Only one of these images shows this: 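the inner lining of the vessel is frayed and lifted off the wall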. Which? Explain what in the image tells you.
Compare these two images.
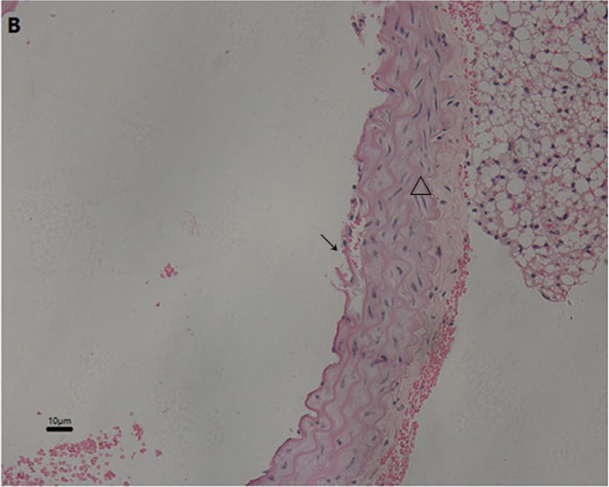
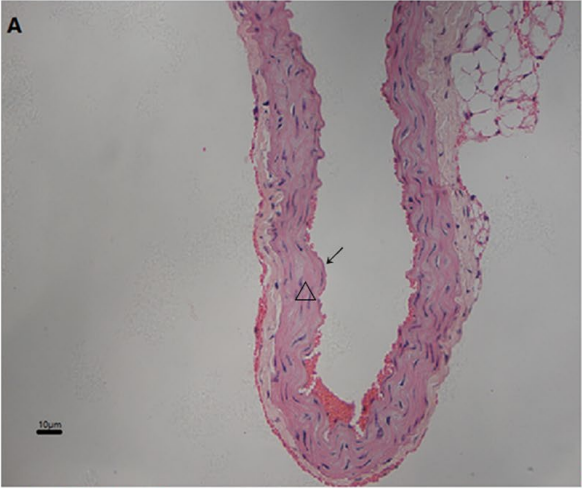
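The first image. First image: thin strands of the inner lining peel away into the lumen at the arrow. Second image: the inner lining lies smooth and continuous against the wall.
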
